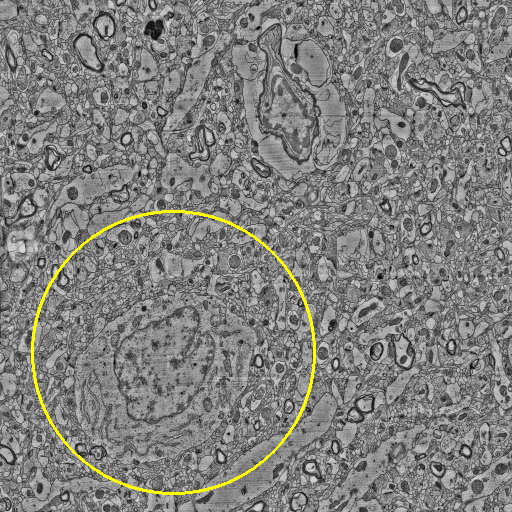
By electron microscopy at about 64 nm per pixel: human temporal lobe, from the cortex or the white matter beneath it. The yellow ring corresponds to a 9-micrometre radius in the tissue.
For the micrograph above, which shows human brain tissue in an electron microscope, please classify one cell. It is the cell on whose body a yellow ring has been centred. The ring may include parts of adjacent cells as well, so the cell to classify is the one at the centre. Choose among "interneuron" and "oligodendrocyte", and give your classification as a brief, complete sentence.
I classify this cell as an interneuron.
